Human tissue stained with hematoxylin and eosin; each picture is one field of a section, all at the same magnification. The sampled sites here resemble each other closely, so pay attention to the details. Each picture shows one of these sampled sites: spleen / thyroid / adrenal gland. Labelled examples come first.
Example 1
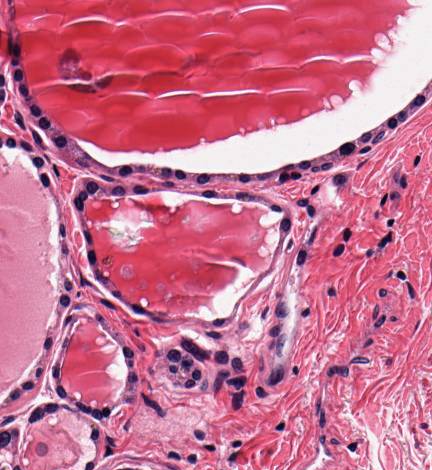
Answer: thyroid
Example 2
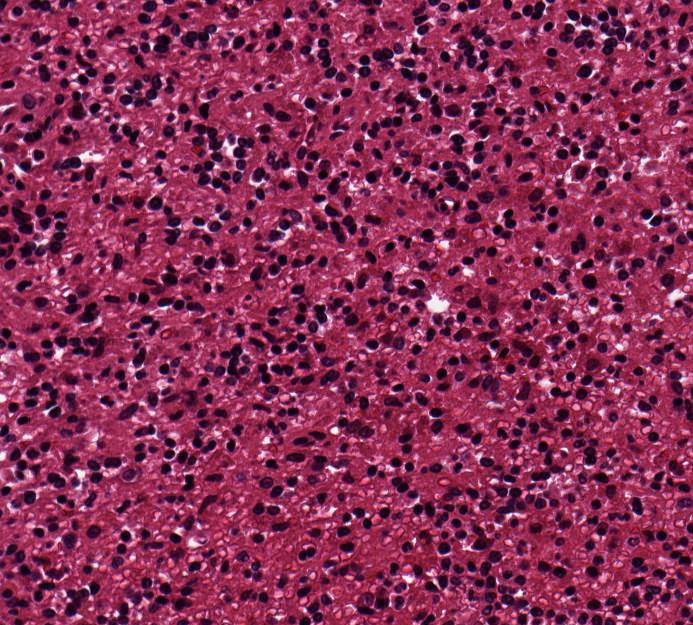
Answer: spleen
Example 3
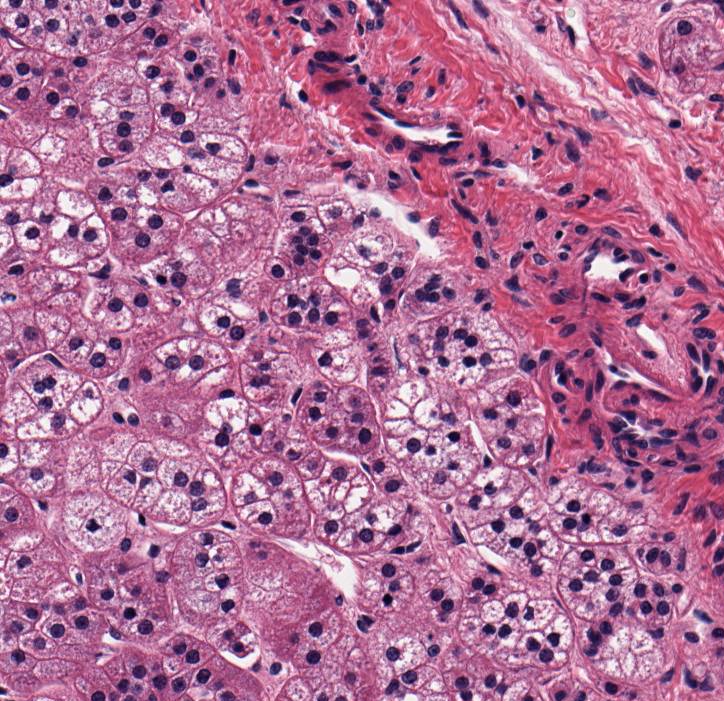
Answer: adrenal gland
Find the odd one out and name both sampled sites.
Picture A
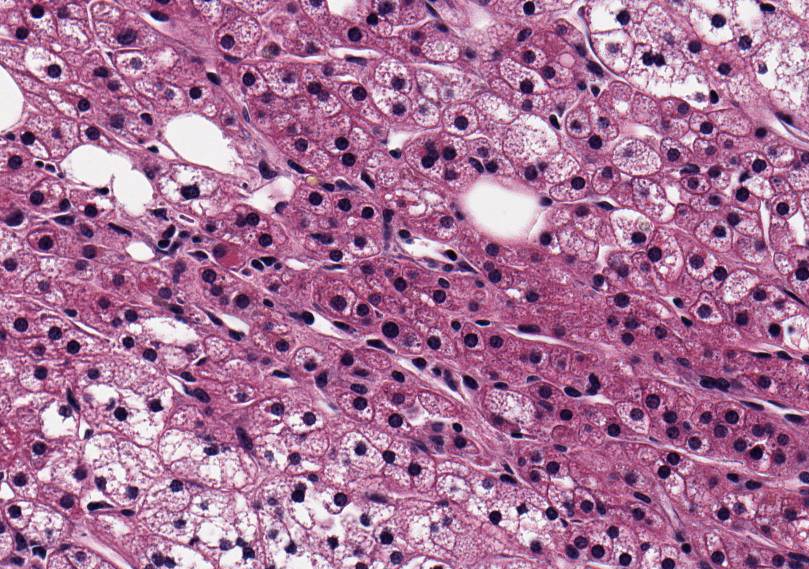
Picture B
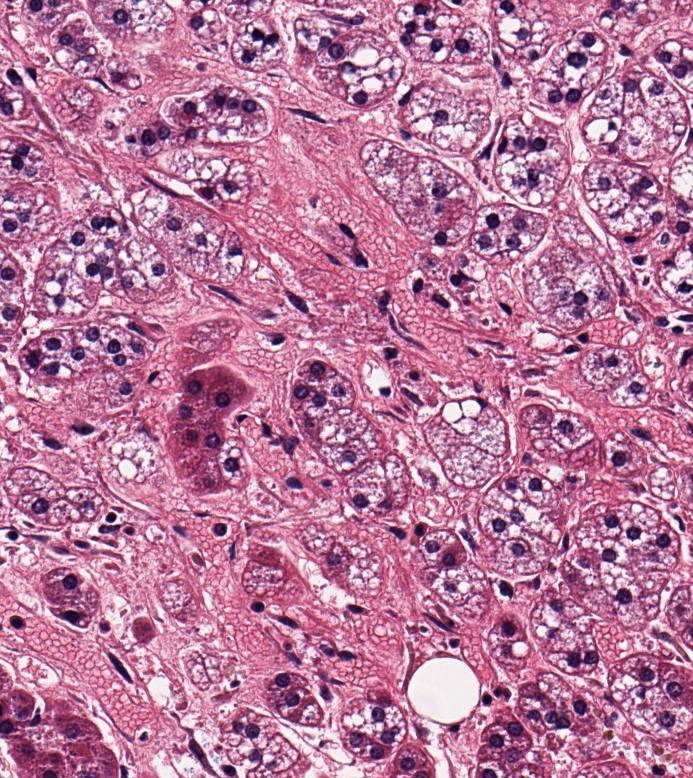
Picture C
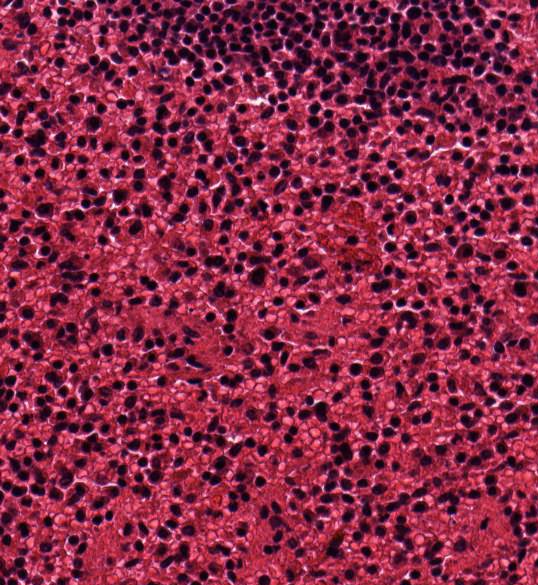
Exception: C, showing spleen. Remaining pictures: adrenal gland.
